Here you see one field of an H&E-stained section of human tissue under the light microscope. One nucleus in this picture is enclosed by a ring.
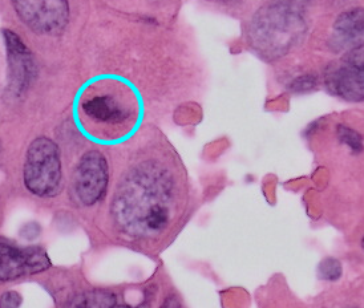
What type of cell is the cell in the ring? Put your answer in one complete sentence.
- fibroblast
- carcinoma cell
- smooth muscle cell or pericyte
In short, the cell in the ring on this section is a carcinoma cell.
